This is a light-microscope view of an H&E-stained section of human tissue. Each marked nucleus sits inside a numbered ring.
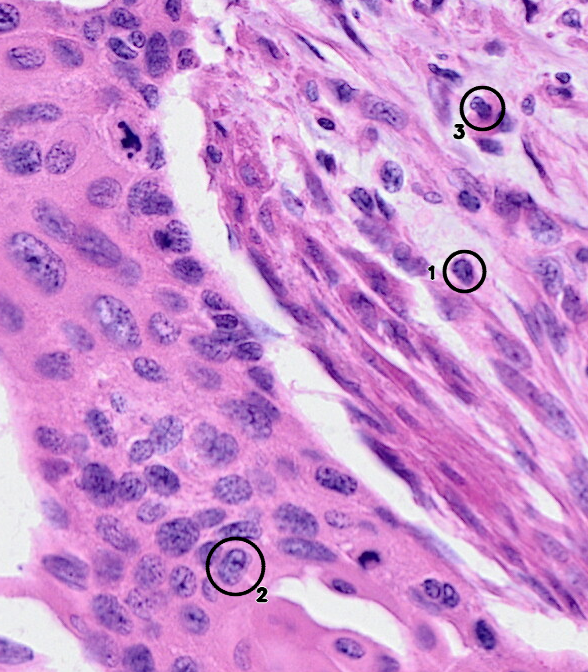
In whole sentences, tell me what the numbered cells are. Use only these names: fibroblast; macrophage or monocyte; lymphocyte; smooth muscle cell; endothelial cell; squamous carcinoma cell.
Cells 1 and 3 are lymphocytes. Cell 2 is a squamous carcinoma cell.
